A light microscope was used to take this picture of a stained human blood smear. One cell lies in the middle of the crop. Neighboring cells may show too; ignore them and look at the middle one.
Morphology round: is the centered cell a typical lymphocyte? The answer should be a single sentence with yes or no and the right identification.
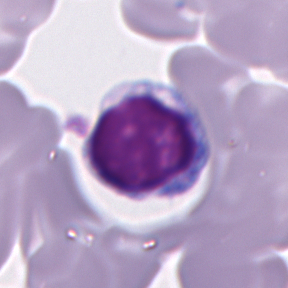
Yes, the centrally placed cell is a typical lymphocyte.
